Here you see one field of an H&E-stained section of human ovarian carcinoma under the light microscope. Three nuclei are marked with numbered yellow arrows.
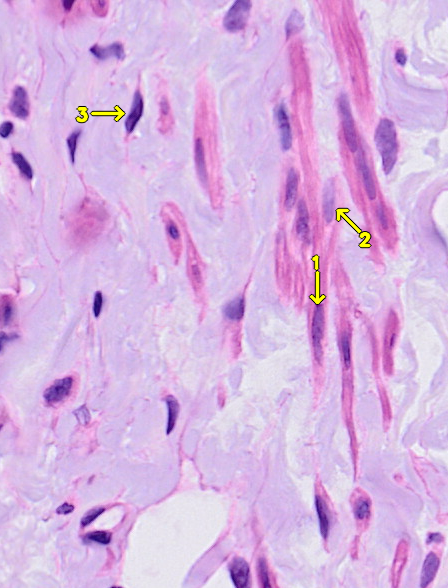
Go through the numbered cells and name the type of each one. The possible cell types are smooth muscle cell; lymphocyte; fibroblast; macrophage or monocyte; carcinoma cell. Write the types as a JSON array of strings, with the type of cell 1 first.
["smooth muscle cell", "smooth muscle cell", "fibroblast"]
